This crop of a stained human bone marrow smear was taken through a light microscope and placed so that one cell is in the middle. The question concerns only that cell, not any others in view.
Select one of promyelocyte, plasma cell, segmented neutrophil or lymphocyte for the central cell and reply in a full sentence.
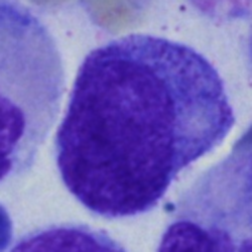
The cell in the middle of this crop is a promyelocyte.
